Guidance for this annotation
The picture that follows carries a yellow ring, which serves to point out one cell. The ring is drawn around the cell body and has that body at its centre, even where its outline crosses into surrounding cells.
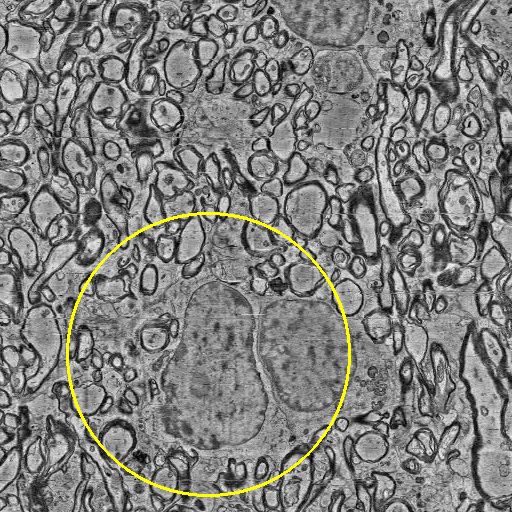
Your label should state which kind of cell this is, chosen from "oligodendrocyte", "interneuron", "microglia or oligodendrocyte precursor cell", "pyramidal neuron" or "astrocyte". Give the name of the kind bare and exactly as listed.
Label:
microglia or oligodendrocyte precursor cell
